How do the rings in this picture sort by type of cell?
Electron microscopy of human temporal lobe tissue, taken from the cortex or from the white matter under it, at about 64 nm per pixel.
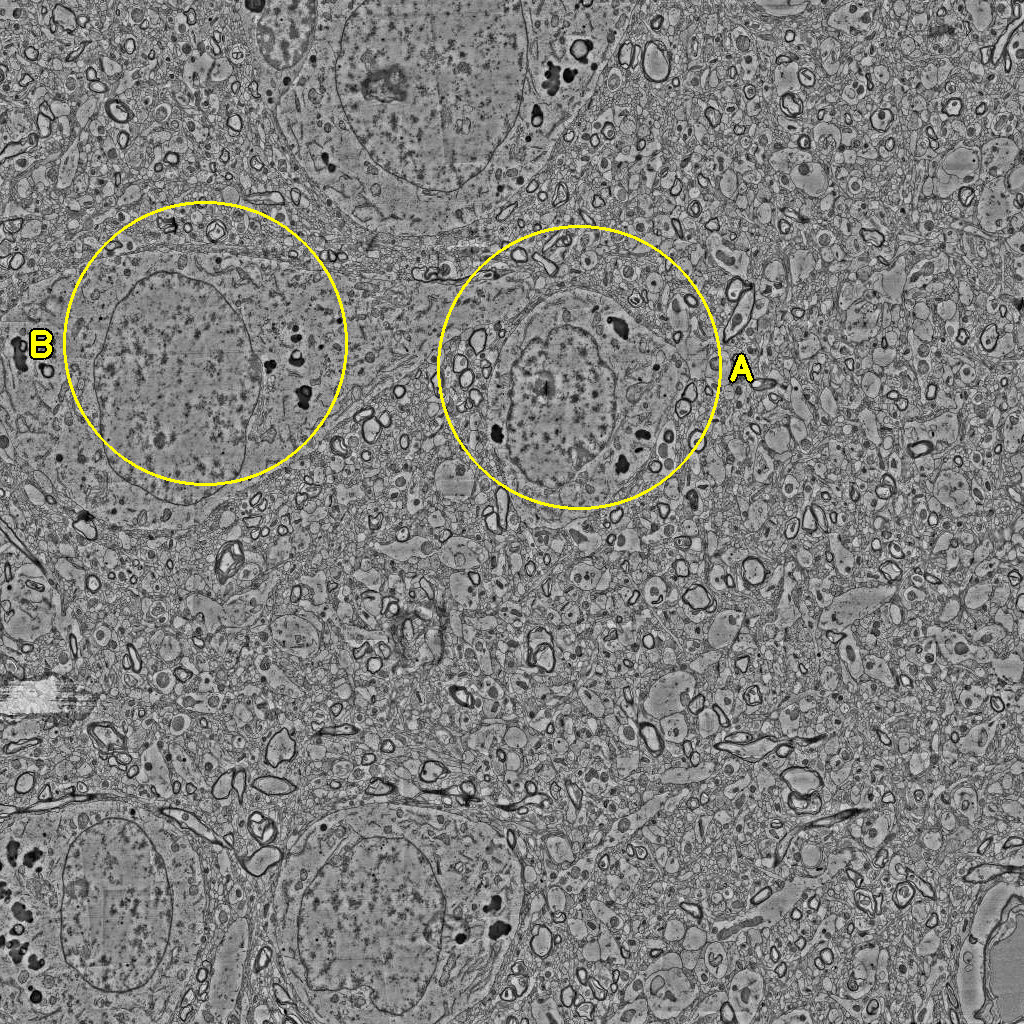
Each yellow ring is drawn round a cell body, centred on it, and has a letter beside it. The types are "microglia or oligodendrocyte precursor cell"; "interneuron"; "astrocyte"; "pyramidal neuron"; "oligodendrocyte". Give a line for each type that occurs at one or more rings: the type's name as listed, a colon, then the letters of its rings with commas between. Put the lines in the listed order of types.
interneuron: A
pyramidal neuron: B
